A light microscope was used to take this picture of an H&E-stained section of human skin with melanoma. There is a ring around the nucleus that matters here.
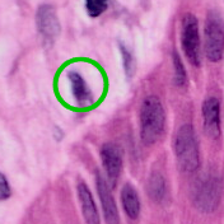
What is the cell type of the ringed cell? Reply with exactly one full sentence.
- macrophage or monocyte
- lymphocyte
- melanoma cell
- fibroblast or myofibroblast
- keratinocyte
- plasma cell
Labelled by cell type, the ringed cell is a fibroblast or myofibroblast.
